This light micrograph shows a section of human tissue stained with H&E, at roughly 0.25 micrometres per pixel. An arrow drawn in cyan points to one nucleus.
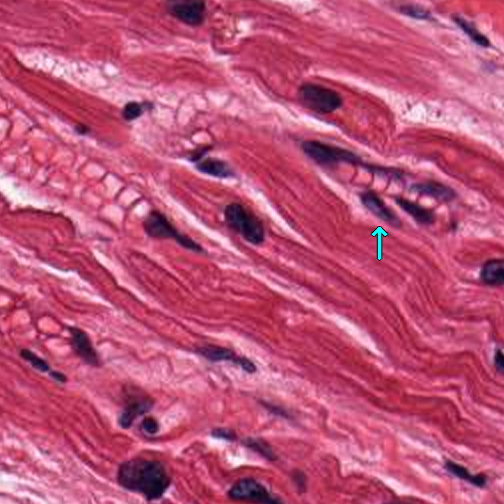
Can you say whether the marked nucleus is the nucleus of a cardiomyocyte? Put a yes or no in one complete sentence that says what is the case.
No, the marked nucleus is not part of a cardiomyocyte and instead belongs to a supporting cell.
